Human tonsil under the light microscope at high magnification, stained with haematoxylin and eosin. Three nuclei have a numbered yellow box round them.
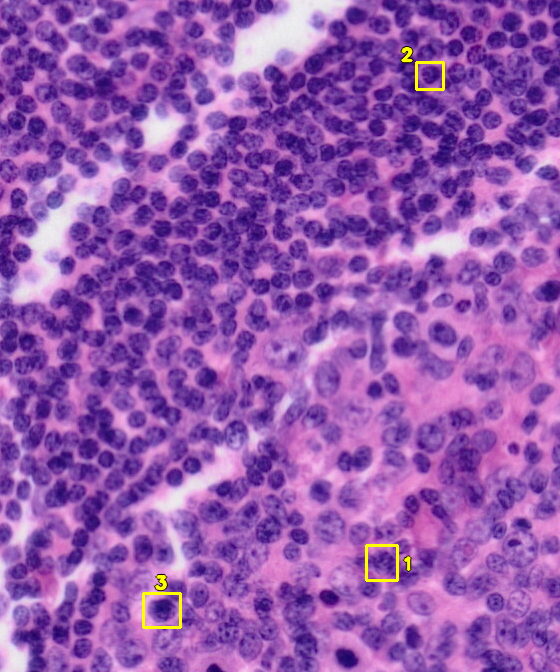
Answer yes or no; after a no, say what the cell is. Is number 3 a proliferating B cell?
Yes.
